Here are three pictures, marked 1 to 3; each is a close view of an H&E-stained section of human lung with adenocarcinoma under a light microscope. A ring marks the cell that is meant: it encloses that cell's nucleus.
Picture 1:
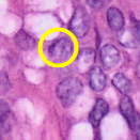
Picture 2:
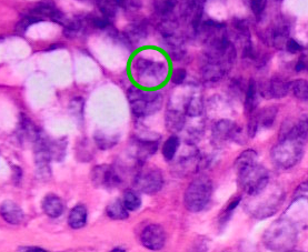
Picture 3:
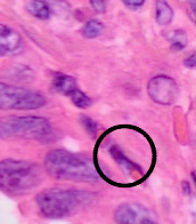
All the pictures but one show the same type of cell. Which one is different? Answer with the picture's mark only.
3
